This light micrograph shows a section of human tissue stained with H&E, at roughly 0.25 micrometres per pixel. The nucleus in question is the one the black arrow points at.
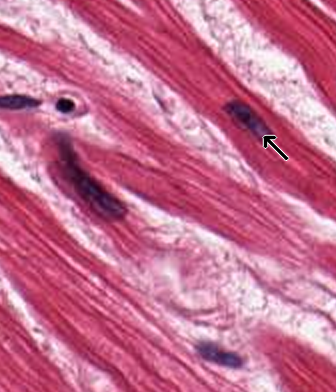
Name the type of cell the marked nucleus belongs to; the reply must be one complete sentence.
The mark indicates the nucleus of a cardiomyocyte.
